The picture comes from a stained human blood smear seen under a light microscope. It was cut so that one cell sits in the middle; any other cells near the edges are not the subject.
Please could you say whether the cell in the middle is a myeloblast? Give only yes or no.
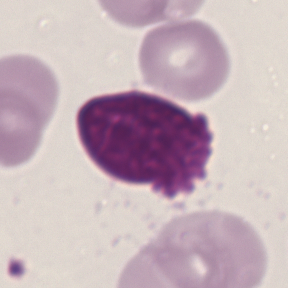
no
